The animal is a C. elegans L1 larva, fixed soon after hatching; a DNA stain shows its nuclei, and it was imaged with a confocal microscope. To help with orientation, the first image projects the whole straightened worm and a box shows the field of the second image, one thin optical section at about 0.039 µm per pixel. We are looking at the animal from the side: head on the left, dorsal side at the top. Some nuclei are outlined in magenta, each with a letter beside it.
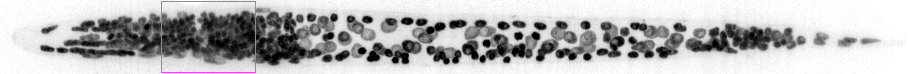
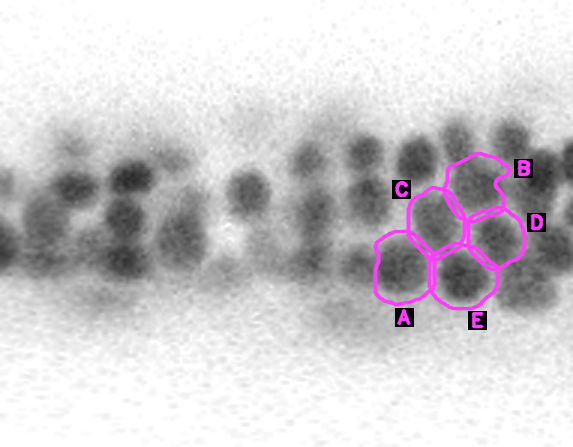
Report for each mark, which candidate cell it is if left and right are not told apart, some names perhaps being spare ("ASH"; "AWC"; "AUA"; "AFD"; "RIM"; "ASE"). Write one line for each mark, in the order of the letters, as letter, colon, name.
A: AWC
B: ASE
C: ASH
D: RIM
E: AUA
